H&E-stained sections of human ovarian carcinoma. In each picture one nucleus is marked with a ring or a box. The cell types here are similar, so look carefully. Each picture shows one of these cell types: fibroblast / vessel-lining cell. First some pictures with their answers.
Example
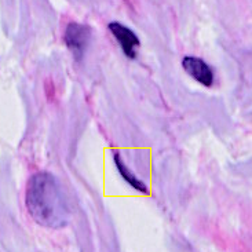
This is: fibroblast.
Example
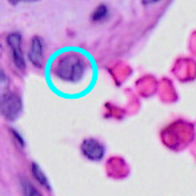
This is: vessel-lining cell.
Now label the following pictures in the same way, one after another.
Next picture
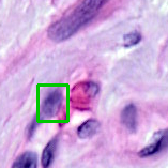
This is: vessel-lining cell.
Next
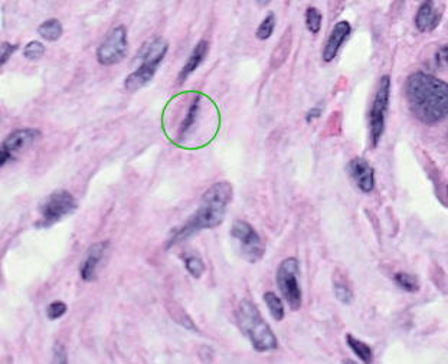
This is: fibroblast.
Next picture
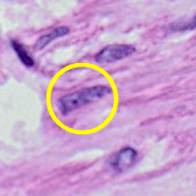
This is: fibroblast.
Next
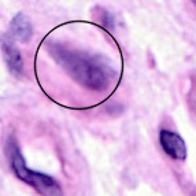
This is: vessel-lining cell.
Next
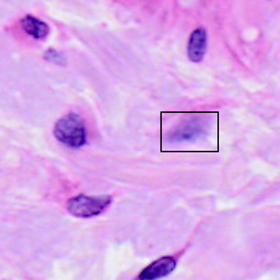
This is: fibroblast.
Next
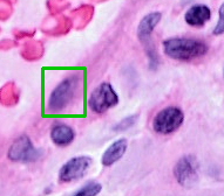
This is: vessel-lining cell.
